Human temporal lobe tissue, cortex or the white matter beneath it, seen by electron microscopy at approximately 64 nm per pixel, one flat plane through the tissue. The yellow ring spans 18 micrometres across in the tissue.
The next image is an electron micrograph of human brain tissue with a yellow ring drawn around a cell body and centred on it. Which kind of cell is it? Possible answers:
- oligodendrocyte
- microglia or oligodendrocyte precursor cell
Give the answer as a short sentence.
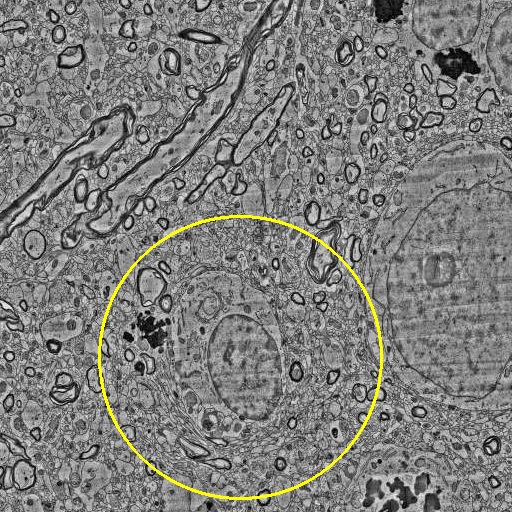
In the ring's centre is a microglial cell or oligodendrocyte precursor cell.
